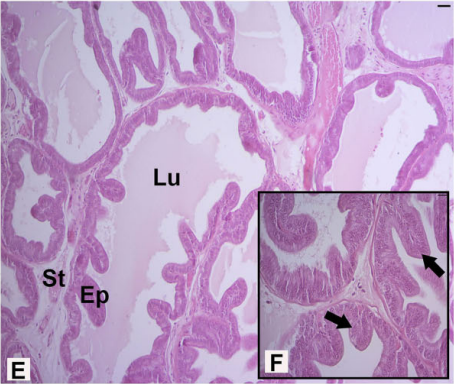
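The lumens are filled with pale pink secretion, but the lining epithelium is thick and thrown into many folds and papillary projections that reach into the lumens. In the enlarged inset, the epithelium at the arrows is crowded, with nuclei piled in several layers instead of a single neat row, the look of prostatic intraepithelial neoplasia. The stroma between the acini is a narrow band of pink fibrous tissue with scattered nuclei.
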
